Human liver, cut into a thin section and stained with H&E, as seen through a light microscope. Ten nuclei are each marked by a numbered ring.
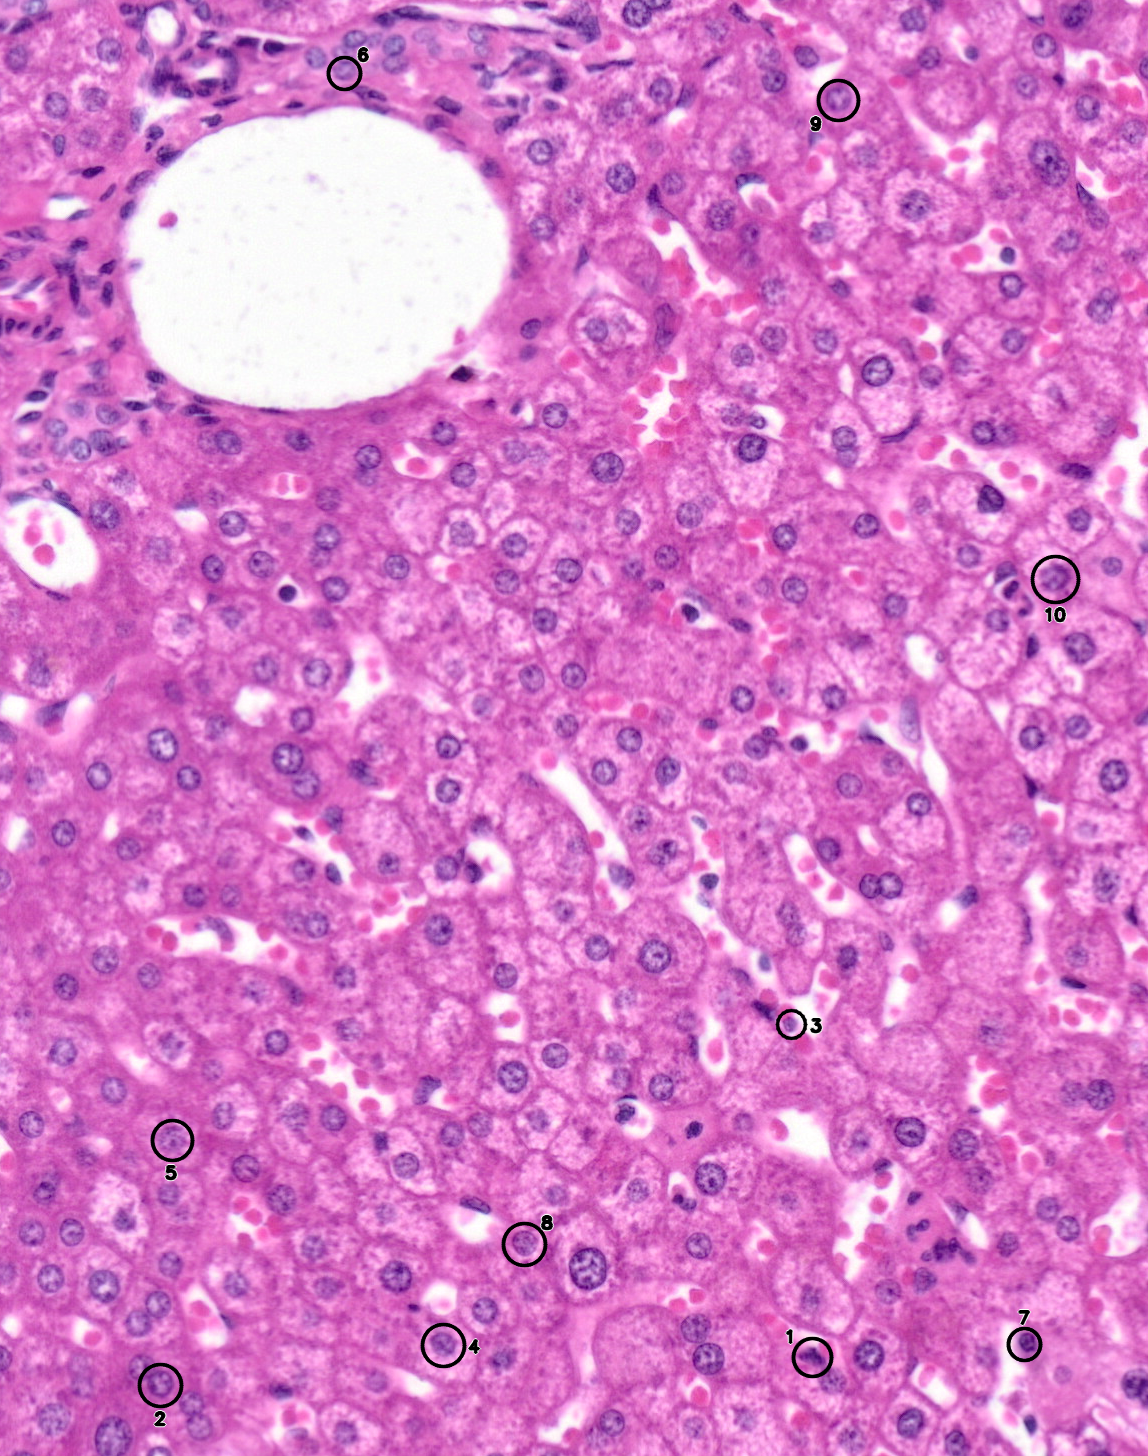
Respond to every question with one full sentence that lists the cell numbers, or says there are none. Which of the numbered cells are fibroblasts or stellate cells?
Answering directly: no fibroblasts or stellate cells are among the numbered cells.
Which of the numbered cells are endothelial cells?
Among the cells marked with numbers, the only one that is an endothelial cell is number 1.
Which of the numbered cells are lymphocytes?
Only the cell carrying number 3 is a lymphocyte.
